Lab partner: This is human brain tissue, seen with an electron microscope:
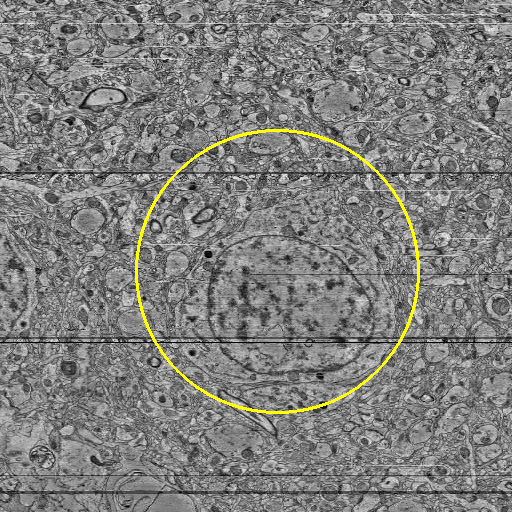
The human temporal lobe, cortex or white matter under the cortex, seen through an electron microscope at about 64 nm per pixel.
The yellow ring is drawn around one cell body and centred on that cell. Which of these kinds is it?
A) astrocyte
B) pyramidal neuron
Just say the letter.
B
